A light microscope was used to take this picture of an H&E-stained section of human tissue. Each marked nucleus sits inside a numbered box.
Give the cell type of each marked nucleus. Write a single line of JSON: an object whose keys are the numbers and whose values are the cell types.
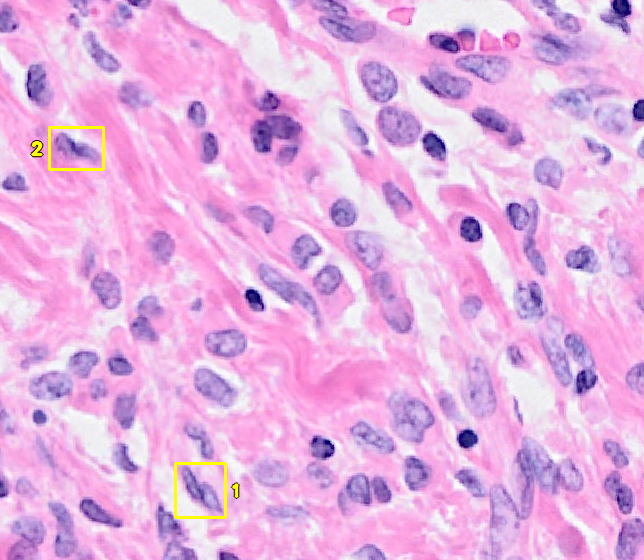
{"1": "endothelial cell", "2": "fibroblast"}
